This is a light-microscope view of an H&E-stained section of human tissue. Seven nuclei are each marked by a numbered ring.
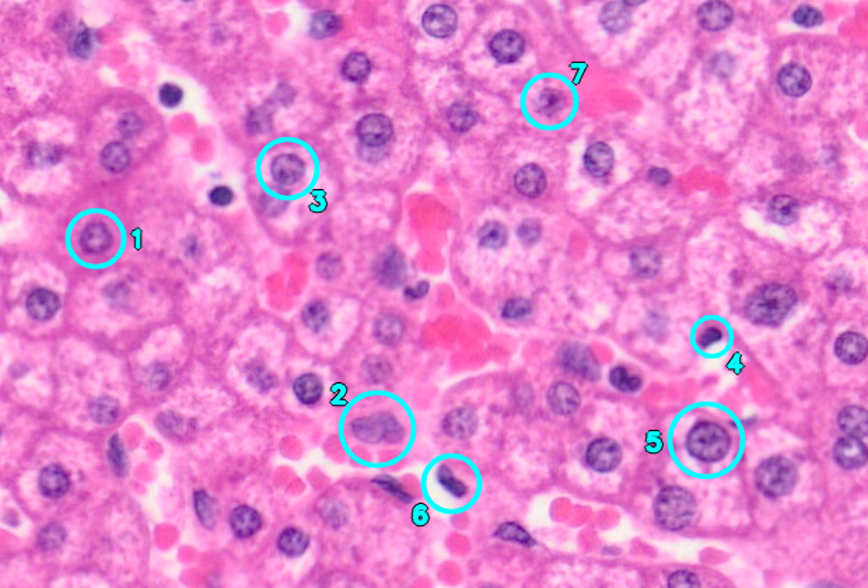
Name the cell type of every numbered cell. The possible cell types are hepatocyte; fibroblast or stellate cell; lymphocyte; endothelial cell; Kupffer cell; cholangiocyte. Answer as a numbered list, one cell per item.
1. hepatocyte
2. Kupffer cell
3. hepatocyte
4. fibroblast or stellate cell
5. hepatocyte
6. lymphocyte
7. hepatocyte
